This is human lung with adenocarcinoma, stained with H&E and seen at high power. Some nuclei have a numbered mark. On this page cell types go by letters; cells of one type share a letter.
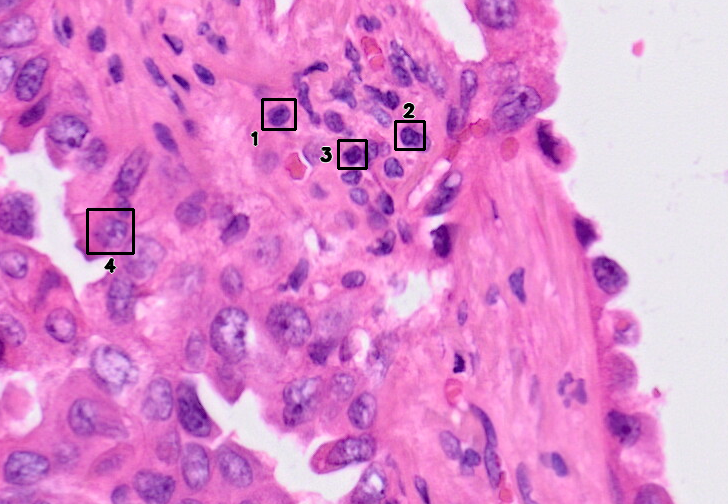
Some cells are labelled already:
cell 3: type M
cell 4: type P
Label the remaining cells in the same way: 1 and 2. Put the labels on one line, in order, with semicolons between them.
type M; type M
